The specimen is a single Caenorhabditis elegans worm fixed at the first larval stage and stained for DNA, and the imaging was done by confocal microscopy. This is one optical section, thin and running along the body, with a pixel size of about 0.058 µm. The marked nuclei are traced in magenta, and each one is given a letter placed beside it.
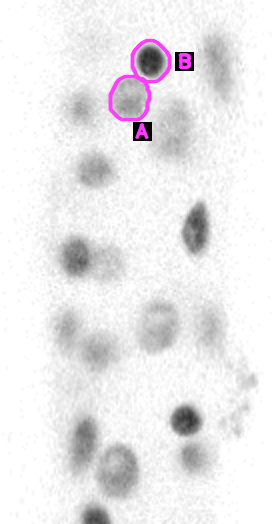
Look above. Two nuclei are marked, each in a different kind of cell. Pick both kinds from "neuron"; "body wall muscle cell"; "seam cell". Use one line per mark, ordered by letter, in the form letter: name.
A: seam cell
B: neuron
